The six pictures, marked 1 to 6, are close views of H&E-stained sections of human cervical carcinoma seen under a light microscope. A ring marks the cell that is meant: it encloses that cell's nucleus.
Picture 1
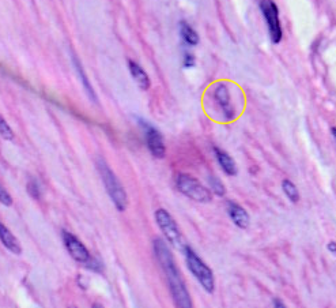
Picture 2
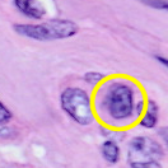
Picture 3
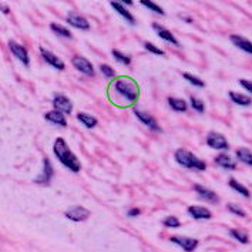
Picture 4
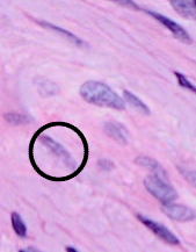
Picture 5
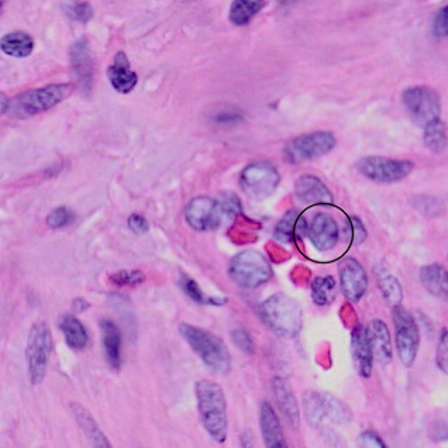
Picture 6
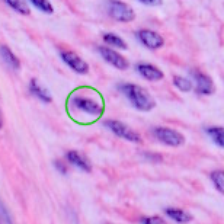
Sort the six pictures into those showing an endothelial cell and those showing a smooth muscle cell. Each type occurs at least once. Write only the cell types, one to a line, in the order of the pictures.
smooth muscle cell
endothelial cell
smooth muscle cell
smooth muscle cell
endothelial cell
smooth muscle cell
